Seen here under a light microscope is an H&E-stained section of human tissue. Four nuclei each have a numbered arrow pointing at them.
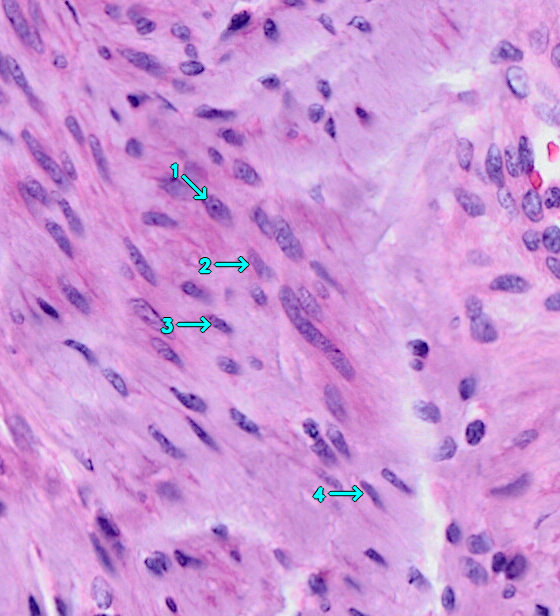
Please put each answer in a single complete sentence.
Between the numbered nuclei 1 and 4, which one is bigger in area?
Number 1 is larger; its area is about 2 times that of number 4.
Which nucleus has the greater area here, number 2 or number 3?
Of the two, number 2 is bigger and takes up about 2 times the area of number 3.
